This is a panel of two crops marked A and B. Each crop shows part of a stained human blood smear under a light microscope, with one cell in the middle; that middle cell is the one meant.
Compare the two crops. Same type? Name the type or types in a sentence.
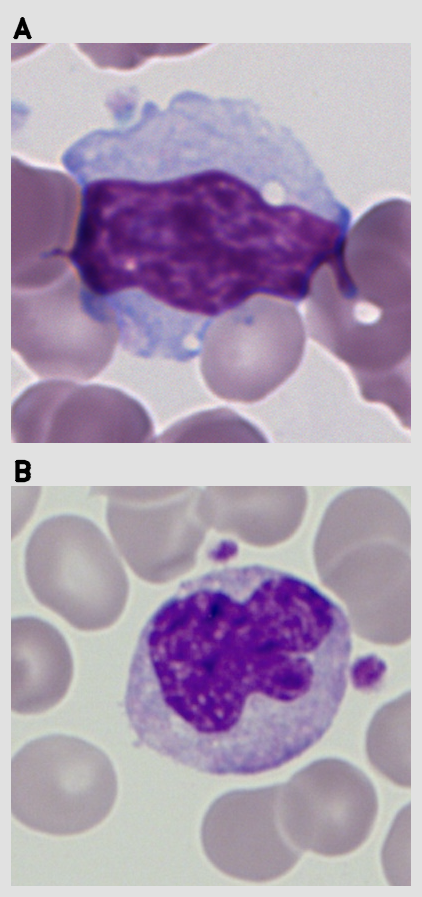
No, it is a blast that crop A shows, and a monocyte that crop B shows.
